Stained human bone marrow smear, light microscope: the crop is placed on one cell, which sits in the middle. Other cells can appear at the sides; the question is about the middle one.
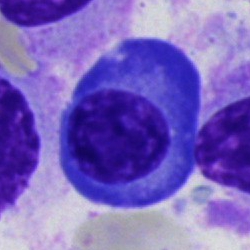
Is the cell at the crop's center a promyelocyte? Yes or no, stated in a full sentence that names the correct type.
No, the central cell does not represent a promyelocyte, but a plasma cell.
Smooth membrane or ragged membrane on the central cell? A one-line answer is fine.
Edge check done: smooth outline, no projections present.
